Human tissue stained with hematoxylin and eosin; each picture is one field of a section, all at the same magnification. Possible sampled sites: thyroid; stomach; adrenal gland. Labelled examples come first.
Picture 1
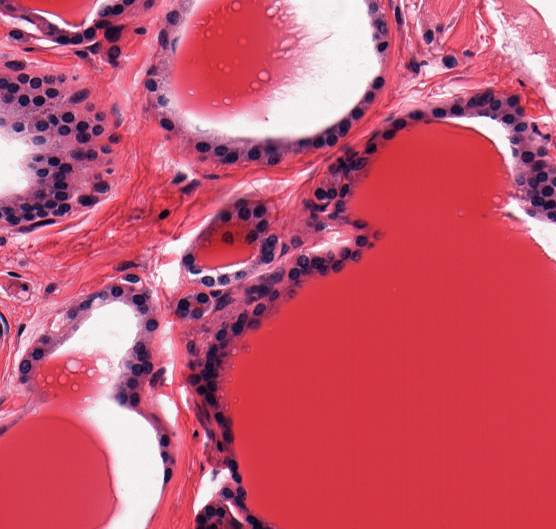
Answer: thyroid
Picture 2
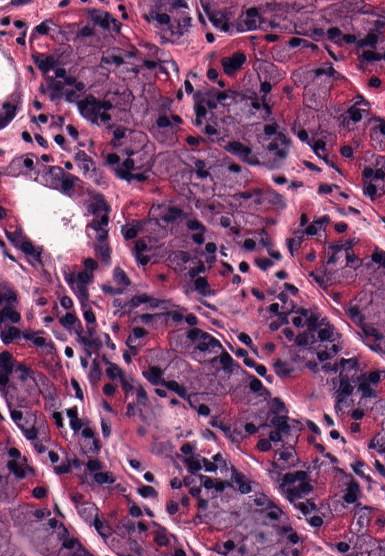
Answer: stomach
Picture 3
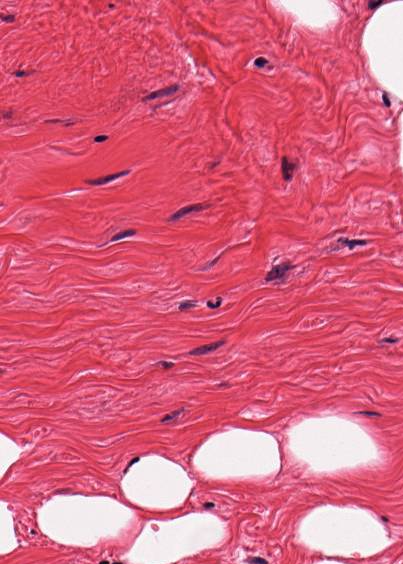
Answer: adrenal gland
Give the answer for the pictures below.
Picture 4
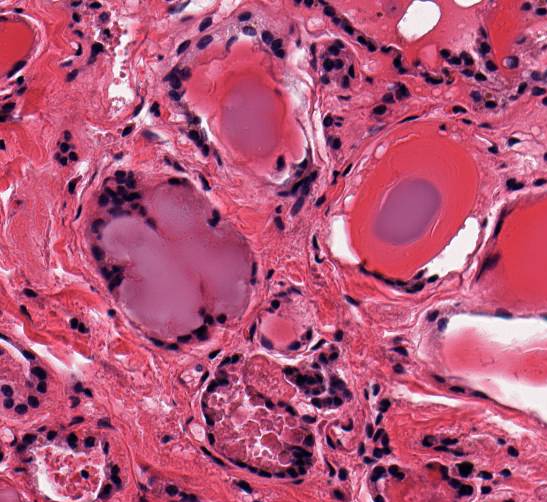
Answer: thyroid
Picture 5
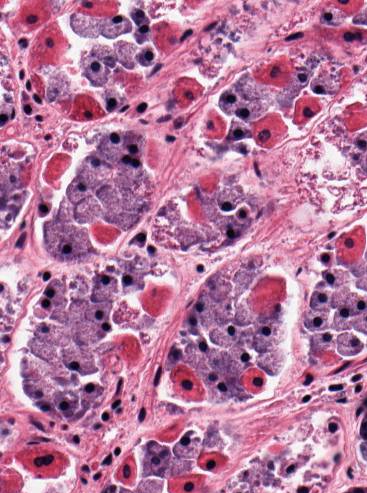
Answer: stomach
